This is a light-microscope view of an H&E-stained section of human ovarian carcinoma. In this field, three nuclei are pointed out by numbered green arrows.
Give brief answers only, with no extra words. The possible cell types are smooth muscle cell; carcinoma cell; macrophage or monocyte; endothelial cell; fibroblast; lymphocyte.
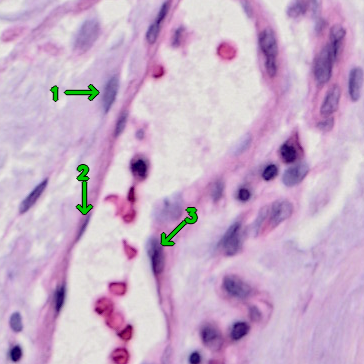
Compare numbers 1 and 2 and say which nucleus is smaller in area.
2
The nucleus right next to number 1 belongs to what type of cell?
endothelial cell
